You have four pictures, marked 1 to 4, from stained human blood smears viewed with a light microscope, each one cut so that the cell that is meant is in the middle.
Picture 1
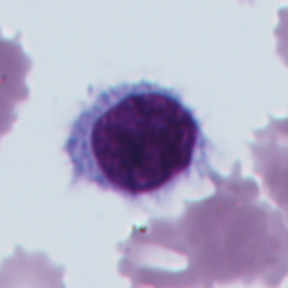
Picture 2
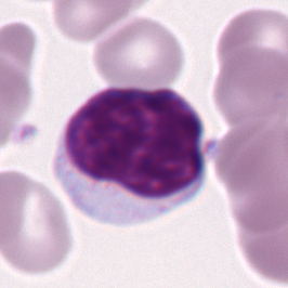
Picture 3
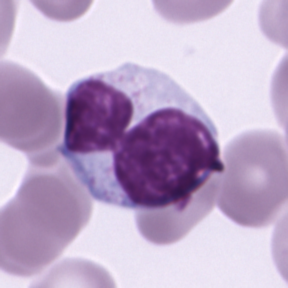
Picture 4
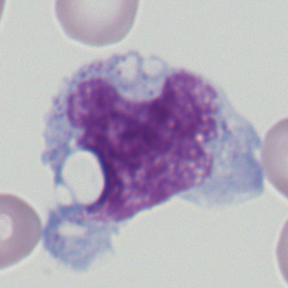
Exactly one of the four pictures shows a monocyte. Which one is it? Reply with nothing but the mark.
4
